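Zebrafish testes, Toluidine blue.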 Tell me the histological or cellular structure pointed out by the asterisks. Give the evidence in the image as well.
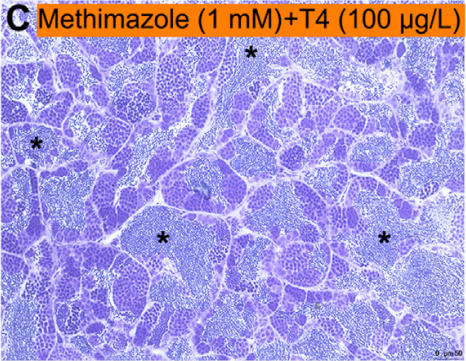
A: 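Testicular lumen. Each asterisk lies in an open space holding many tiny dark dots. The spaces lie between rounded compartments of germ cells.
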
